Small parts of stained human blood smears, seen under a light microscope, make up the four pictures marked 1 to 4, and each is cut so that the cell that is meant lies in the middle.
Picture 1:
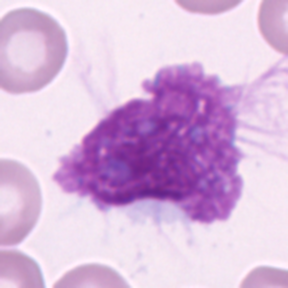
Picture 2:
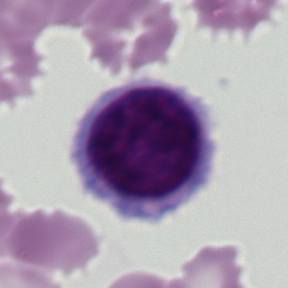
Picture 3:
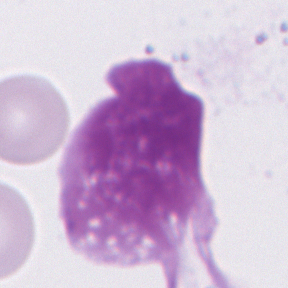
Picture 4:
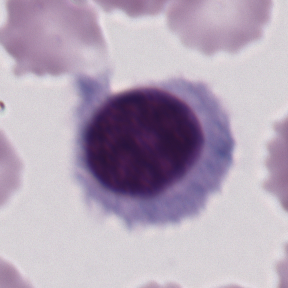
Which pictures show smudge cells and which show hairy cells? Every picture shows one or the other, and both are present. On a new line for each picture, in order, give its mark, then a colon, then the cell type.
1: smudge cell
2: hairy cell
3: smudge cell
4: hairy cell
